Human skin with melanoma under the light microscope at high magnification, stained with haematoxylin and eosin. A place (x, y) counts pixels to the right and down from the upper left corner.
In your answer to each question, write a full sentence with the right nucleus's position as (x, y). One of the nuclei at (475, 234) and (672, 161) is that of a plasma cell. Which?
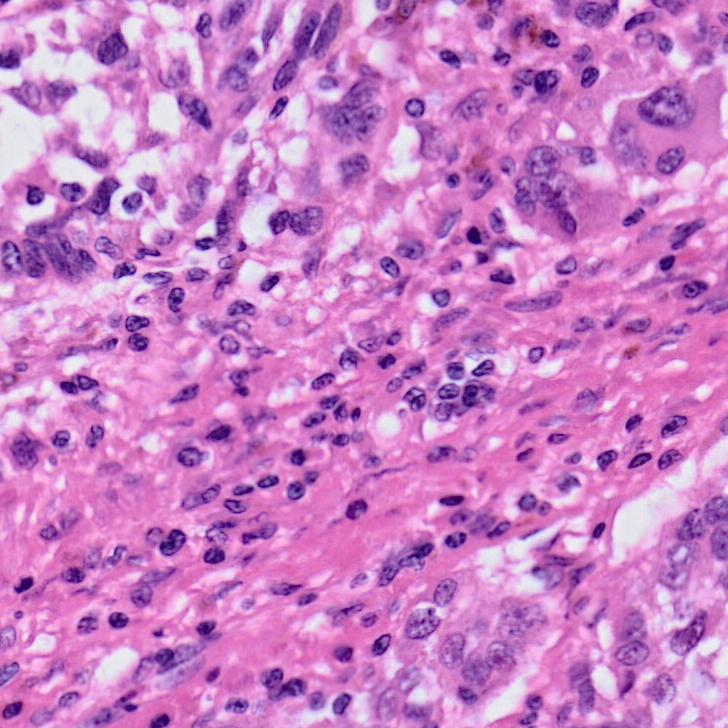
Between the two nuclei, the one sitting at (475, 234) belongs to a plasma cell.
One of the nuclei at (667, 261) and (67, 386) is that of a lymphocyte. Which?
The nucleus of a lymphocyte is the one at (67, 386).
